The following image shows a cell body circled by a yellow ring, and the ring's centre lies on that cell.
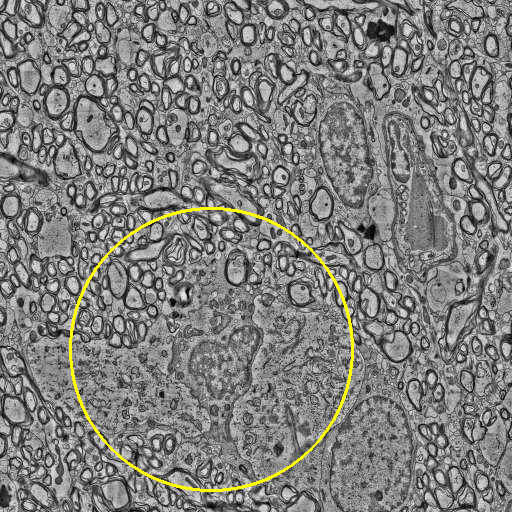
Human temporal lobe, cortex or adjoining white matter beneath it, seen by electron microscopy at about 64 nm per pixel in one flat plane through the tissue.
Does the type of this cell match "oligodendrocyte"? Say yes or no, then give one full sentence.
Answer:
Yes, the type matches for the cell at the ring's centre in this picture.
